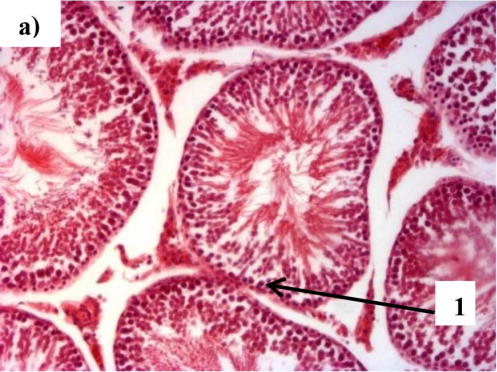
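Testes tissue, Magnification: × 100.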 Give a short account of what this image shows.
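Cross-sections of seminiferous tubules fill the field, round to oval and packed closely, separated by narrow interstitial spaces holding a few pink cells and vessels. Each tubule is lined by a stratified epithelium: along the basement membrane sit small cells with dark round nuclei, the spermatogonia, and above them several layers of larger rounded germ cells. Toward the lumen, elongated pink spermatids and their tails stream inward in radiating bundles, giving the centre a feathery look. The epithelium is thick and orderly, with the lumen largely filled by these tail bundles.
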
